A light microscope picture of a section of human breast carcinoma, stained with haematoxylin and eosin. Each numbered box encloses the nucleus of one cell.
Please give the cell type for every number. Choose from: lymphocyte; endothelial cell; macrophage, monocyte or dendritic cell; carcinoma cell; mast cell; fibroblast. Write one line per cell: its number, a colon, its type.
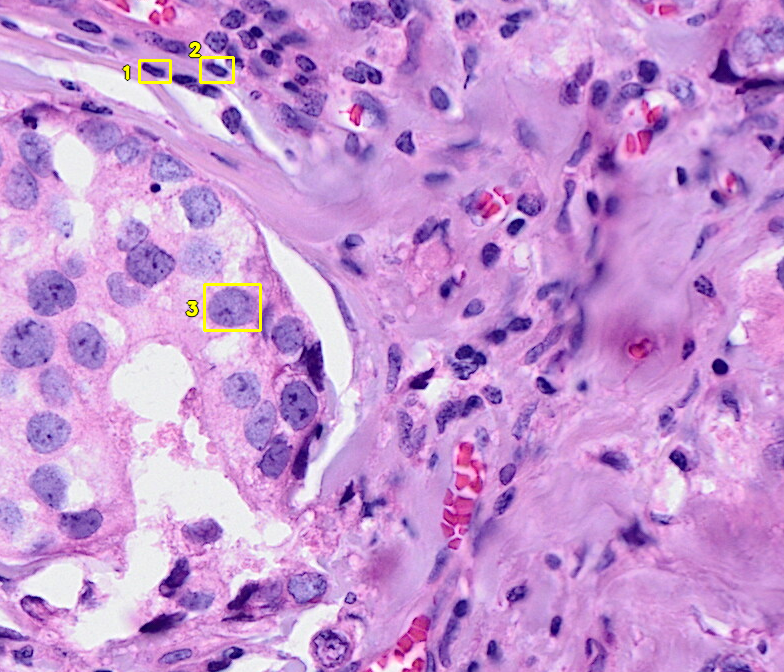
1: lymphocyte
2: lymphocyte
3: carcinoma cell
